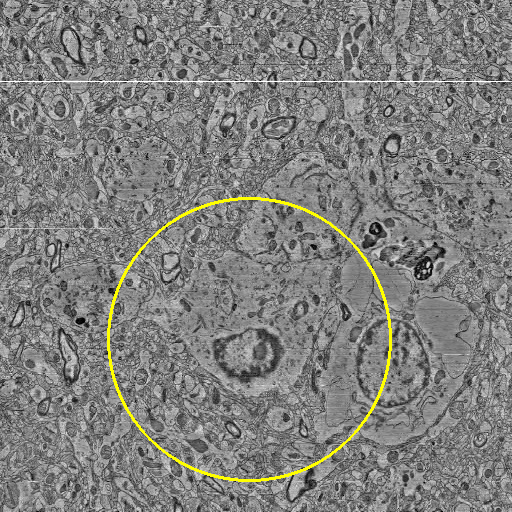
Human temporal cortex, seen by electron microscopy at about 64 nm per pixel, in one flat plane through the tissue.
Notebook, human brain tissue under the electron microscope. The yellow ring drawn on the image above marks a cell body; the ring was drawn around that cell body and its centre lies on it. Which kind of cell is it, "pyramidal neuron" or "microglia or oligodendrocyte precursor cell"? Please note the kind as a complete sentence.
The marked cell body is that of a microglial cell or oligodendrocyte precursor cell.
